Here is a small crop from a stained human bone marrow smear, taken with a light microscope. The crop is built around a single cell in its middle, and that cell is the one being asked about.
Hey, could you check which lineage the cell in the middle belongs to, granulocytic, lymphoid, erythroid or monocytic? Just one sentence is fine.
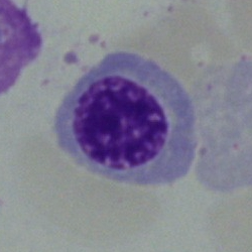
The cell situated centrally in the crop is of the erythroid lineage.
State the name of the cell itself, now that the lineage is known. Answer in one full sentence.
Answering briefly, the cell in the middle is an erythroblast.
